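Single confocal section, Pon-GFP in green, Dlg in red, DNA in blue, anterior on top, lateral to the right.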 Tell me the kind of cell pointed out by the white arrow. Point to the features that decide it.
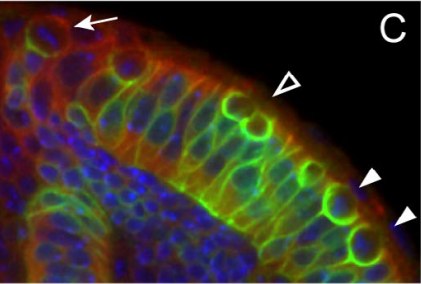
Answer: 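The arrow points to a cell at the left (medial) end of the epithelium. The marked cell is larger and rounder than the columnar cells beside it.
Hence: optic lobe neuroblasts.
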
